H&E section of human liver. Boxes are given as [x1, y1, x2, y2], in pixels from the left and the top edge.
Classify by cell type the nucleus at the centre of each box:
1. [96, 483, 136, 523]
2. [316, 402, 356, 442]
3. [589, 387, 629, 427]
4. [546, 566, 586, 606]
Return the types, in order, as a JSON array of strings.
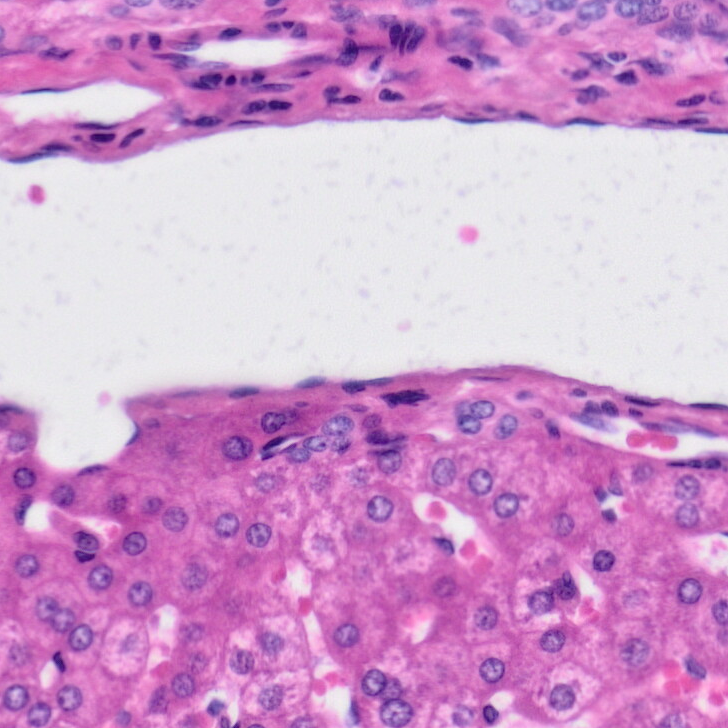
["hepatocyte", "cholangiocyte", "fibroblast or stellate cell", "Kupffer cell"]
